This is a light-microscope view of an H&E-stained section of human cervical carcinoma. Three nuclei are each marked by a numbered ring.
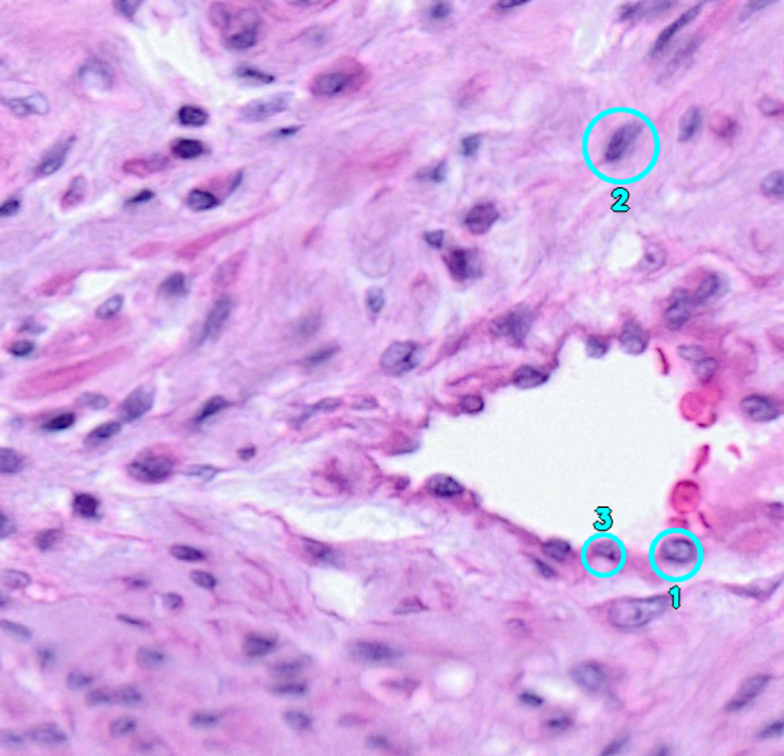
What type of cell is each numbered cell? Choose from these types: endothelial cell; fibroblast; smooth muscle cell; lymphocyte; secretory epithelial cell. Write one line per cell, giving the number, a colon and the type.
1: endothelial cell
2: fibroblast
3: endothelial cell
